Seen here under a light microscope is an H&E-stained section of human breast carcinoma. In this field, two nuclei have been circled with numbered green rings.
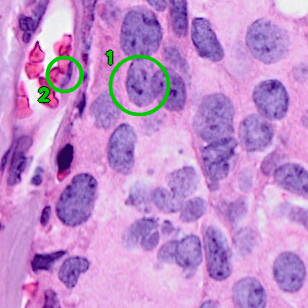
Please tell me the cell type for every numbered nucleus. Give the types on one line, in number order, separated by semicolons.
carcinoma cell; endothelial cell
